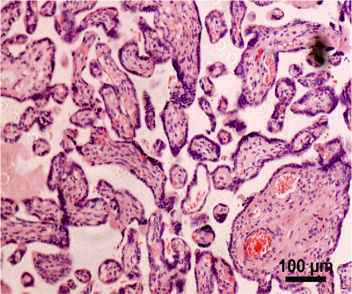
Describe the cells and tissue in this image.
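This is placental villous tissue, with elongated and irregular villi separated by wide intervillous spaces. The villous surfaces are lined by a dense, darkly purple-staining trophoblast layer with crowded nuclei, and some villi contain red blood cell-filled vessels in their pink stroma. A larger villus at the lower right holds congested vessels.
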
